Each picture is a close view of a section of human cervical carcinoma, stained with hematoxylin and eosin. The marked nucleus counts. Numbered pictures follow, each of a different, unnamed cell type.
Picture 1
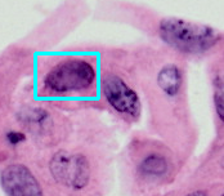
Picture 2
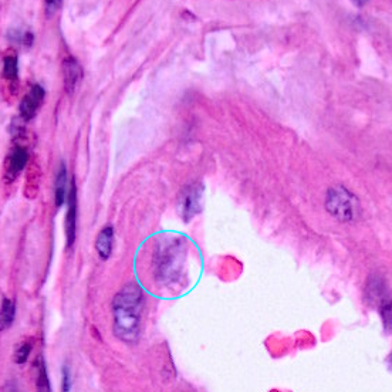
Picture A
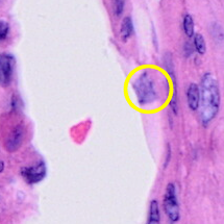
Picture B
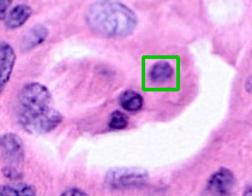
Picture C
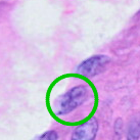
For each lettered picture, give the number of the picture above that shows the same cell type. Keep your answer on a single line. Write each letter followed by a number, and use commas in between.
A 1, B 1, C 2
